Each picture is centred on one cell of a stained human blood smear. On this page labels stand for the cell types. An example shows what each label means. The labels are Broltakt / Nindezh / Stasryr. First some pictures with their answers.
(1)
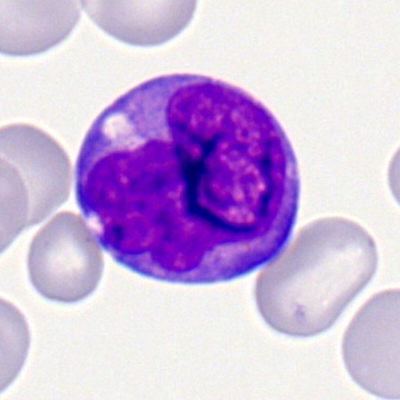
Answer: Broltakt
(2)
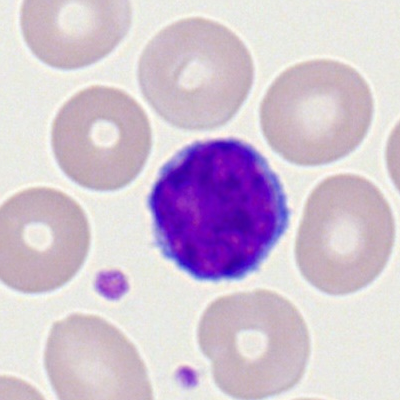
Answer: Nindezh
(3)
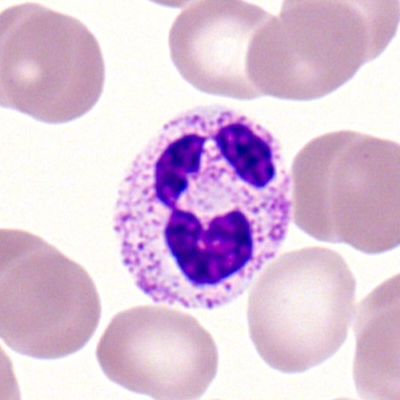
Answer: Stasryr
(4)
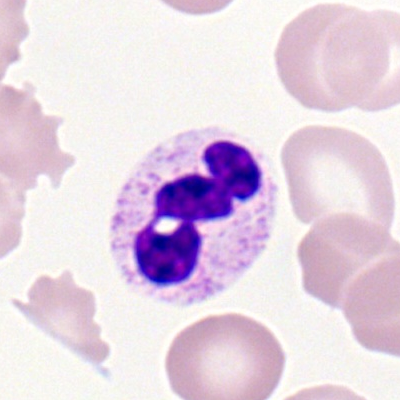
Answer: Stasryr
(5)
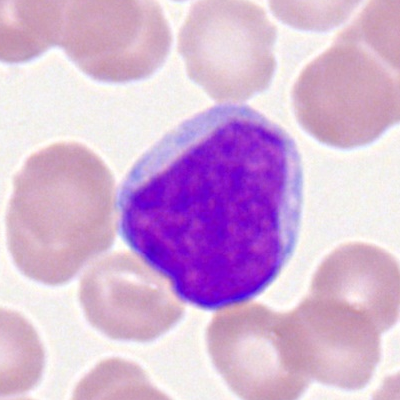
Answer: Broltakt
